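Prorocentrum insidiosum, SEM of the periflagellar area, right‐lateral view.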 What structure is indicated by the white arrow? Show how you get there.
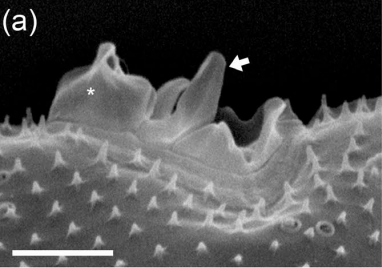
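A narrow, pointed projection rises at the arrow. It is slimmer than the broad sheet beside it. The answer: narrower protrusion in the middle.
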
